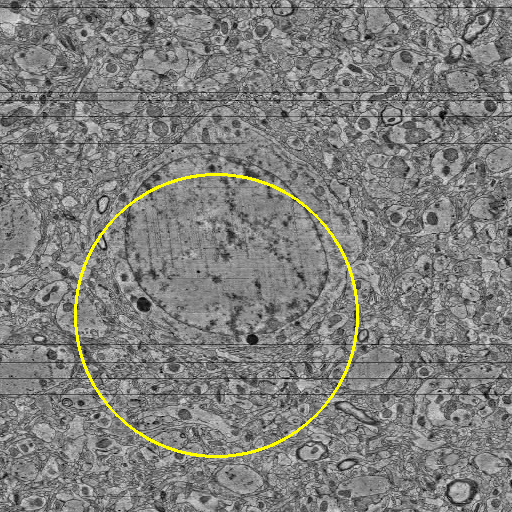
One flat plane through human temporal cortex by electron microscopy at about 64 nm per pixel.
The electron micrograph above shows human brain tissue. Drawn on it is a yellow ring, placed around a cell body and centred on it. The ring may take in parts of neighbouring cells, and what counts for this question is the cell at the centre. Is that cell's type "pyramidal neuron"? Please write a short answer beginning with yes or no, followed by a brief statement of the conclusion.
Yes, its type is the one named.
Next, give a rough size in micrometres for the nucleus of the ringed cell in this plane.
In this plane the nucleus is about 14 micrometres by 11.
